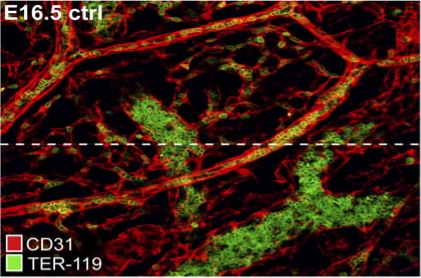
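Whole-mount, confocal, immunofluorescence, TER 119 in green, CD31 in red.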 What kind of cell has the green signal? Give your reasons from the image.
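Erythrocytes. Small round green-outlined cells pack the lumens of tubular vessels.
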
